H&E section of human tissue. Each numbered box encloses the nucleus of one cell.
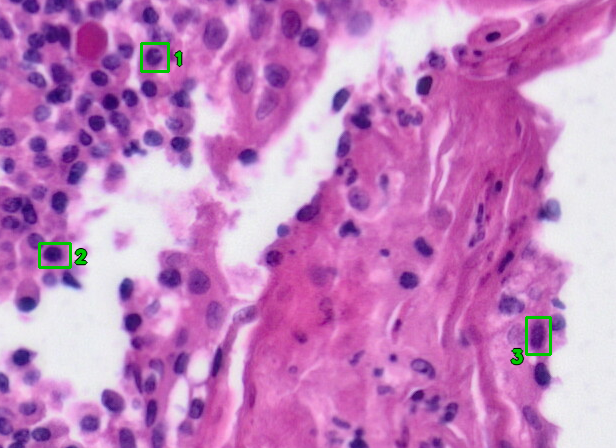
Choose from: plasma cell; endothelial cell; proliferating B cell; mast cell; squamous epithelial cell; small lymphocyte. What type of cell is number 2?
plasma cell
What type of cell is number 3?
squamous epithelial cell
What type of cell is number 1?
plasma cell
